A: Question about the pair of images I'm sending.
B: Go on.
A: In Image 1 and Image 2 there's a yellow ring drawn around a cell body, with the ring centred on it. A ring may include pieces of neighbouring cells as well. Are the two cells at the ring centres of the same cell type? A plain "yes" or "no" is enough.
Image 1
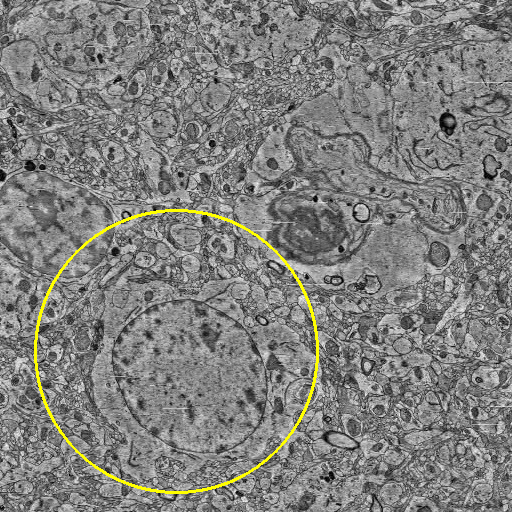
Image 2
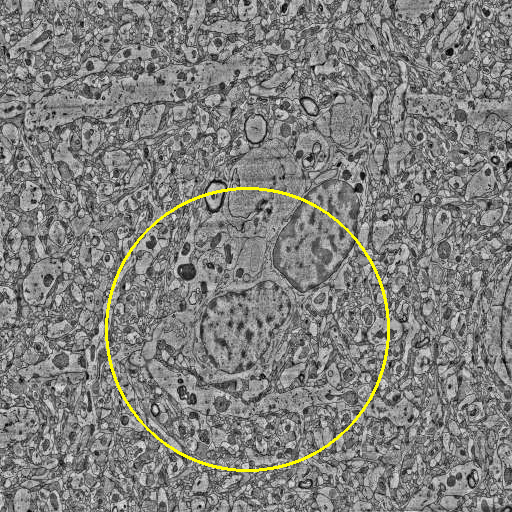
no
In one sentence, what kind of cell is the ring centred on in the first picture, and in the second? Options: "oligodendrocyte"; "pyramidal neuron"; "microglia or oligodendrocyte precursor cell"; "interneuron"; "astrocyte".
The cell at the centre of the second ring is a microglial cell or oligodendrocyte precursor cell; the first ring's cell is an astrocyte.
